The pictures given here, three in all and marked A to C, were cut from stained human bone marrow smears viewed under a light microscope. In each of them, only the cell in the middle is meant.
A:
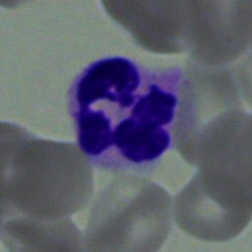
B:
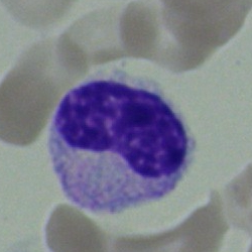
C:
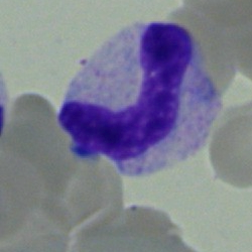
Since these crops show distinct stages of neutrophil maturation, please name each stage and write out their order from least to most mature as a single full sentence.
From the earliest stage onward, the order is crop B (a metamyelocyte), crop C (a band neutrophil) and crop A (a segmented neutrophil).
